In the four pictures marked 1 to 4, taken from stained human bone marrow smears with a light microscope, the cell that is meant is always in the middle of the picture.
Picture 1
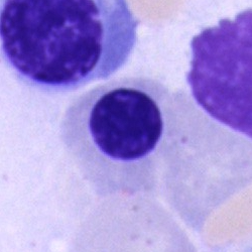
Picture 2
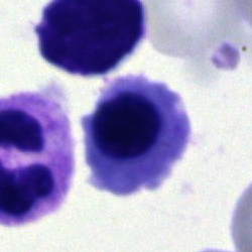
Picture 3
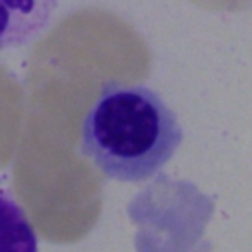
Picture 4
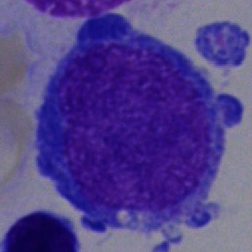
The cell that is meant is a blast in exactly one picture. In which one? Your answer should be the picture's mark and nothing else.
4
